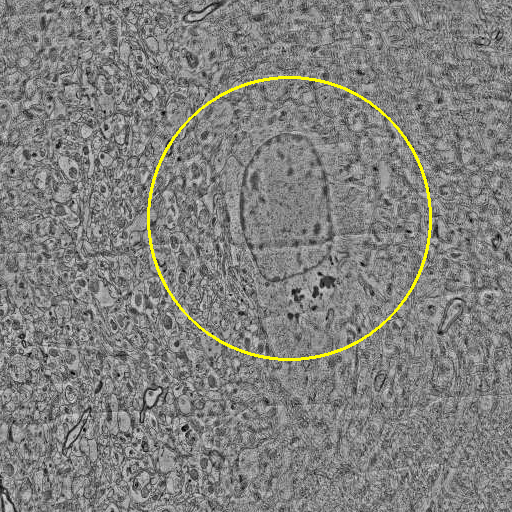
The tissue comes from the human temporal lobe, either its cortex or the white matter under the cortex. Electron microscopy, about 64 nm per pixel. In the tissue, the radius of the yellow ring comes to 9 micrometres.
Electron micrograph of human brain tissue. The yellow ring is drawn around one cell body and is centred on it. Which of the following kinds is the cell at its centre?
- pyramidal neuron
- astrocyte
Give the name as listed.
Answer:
astrocyte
